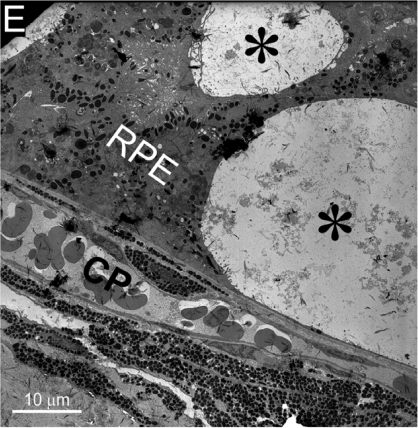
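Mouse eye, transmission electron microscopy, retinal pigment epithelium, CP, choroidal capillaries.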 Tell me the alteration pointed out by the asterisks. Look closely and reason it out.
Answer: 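Large, round, electron-lucent spaces lie within the pigmented epithelial layer. The spaces contain only sparse, wispy material. The answer: Vacuolated changes.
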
